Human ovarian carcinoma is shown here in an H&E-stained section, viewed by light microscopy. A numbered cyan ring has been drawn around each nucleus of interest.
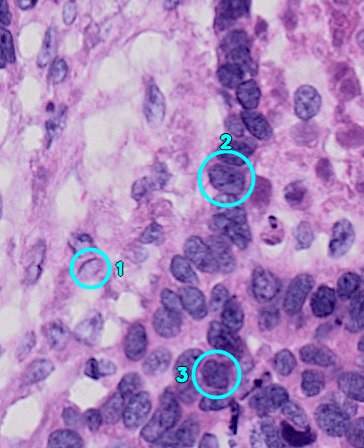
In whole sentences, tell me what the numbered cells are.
Cell 1 is a fibroblast. Cells 2 and 3 are carcinoma cells.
